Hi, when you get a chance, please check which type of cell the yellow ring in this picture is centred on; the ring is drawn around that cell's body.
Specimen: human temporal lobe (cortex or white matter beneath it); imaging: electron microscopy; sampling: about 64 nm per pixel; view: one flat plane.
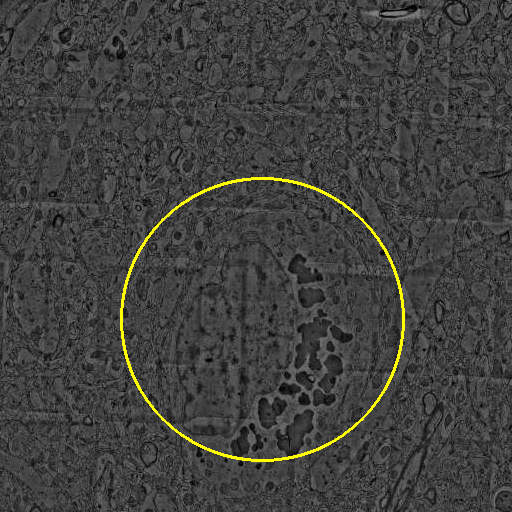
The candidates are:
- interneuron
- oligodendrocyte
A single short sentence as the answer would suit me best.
The ring is drawn around the body of an interneuron.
